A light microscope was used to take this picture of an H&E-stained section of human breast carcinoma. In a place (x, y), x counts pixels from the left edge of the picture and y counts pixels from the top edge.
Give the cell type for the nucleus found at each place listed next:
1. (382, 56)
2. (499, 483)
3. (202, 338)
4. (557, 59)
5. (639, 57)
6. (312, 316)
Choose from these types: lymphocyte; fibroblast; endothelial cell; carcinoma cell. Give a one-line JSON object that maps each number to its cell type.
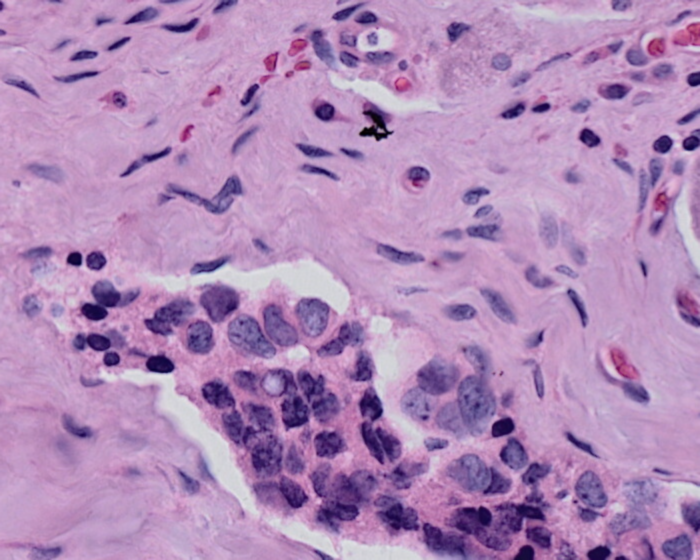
{"1": "endothelial cell", "2": "carcinoma cell", "3": "carcinoma cell", "4": "fibroblast", "5": "endothelial cell", "6": "carcinoma cell"}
